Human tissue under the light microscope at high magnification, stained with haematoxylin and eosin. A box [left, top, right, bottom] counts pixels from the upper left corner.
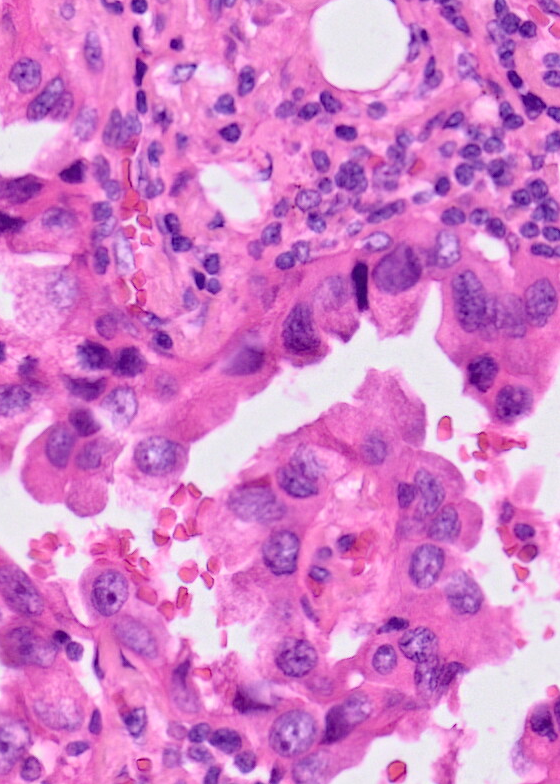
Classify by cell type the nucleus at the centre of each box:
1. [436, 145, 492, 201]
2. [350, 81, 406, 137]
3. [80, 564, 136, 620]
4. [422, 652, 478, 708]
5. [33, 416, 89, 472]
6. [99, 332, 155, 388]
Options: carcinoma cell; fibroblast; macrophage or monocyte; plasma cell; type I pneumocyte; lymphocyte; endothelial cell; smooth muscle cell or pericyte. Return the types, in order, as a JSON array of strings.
["lymphocyte", "lymphocyte", "carcinoma cell", "carcinoma cell", "carcinoma cell", "carcinoma cell"]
